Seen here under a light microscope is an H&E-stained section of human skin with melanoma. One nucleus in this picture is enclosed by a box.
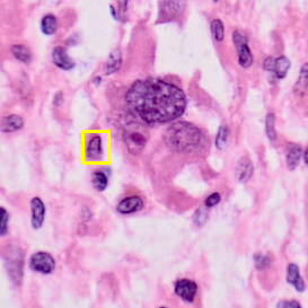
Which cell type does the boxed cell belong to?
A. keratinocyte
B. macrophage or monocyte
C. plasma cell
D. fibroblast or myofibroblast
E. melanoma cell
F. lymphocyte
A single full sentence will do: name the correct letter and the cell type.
Option B gets it right, as the boxed cell is a macrophage or monocyte.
